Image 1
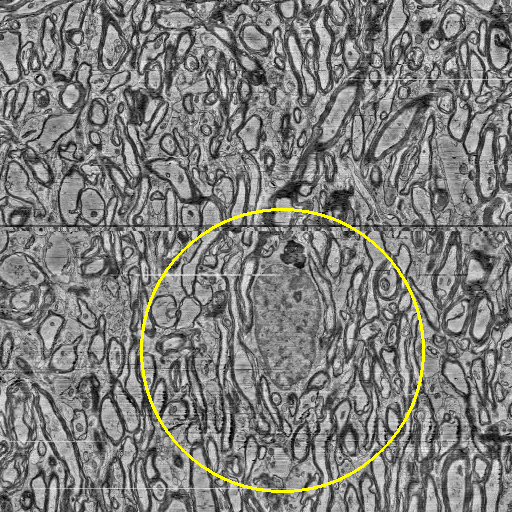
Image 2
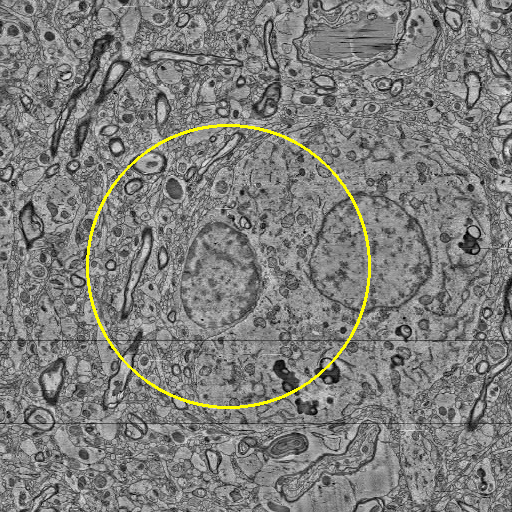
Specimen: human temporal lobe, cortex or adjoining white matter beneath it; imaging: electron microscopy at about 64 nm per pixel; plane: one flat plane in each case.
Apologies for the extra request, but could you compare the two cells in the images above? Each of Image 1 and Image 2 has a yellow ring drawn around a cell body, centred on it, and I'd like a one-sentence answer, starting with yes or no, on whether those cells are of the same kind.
Yes, both cells are of the same kind.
